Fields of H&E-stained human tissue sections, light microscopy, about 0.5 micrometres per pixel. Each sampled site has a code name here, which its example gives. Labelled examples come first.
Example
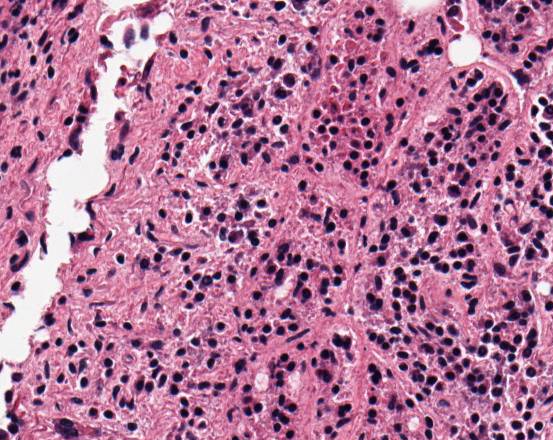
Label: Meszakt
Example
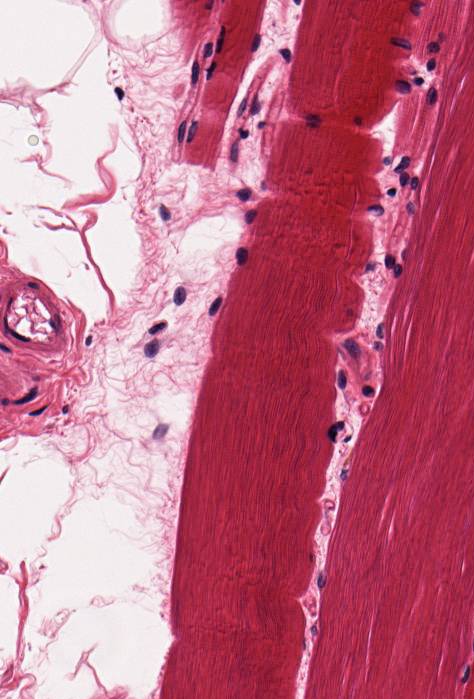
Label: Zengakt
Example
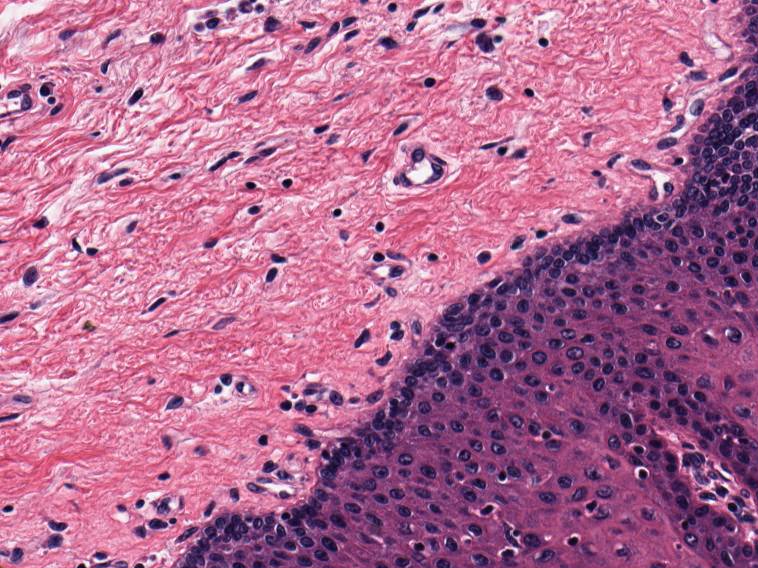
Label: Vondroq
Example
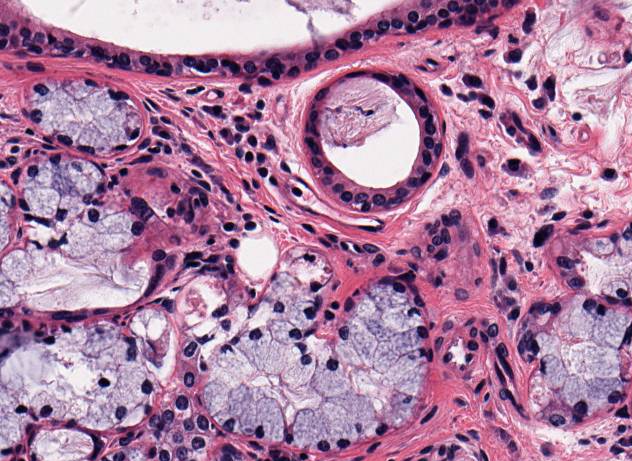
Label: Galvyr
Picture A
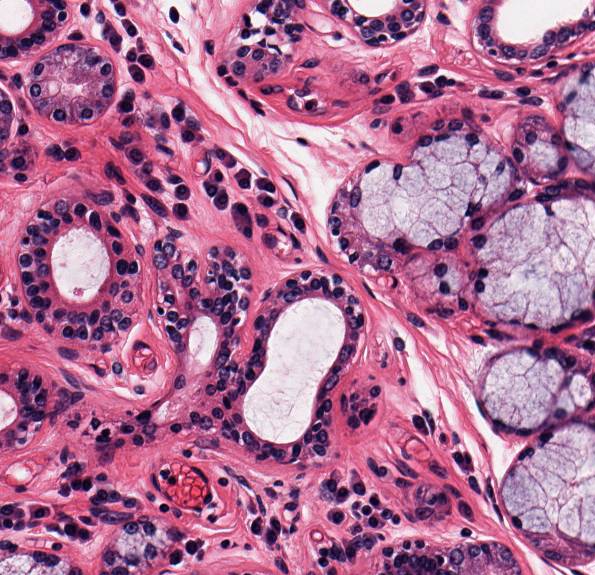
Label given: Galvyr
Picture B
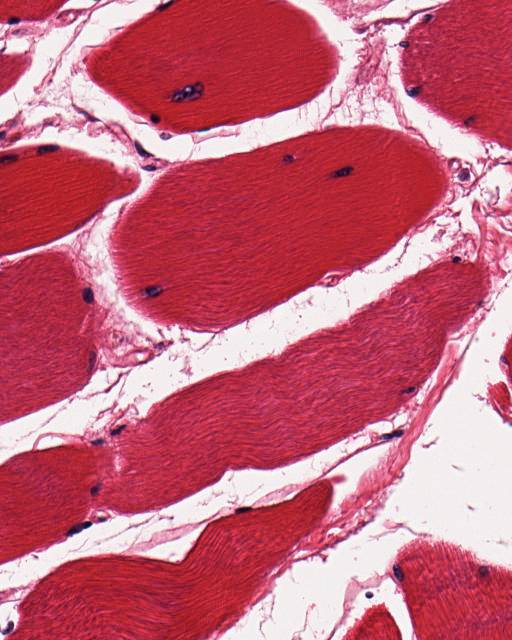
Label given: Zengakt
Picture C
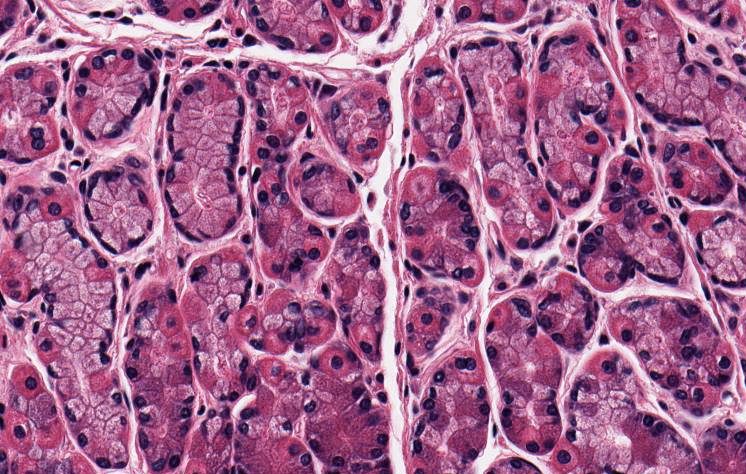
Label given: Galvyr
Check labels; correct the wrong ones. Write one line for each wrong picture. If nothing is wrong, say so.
C: Vondroq, not Galvyr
